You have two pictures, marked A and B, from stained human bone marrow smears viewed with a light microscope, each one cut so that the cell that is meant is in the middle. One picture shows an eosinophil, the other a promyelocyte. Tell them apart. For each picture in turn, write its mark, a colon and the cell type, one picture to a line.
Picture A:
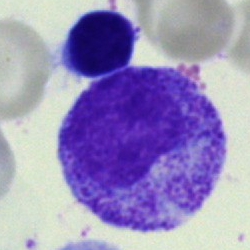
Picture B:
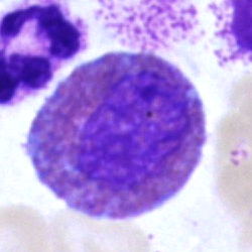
A: promyelocyte
B: eosinophil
